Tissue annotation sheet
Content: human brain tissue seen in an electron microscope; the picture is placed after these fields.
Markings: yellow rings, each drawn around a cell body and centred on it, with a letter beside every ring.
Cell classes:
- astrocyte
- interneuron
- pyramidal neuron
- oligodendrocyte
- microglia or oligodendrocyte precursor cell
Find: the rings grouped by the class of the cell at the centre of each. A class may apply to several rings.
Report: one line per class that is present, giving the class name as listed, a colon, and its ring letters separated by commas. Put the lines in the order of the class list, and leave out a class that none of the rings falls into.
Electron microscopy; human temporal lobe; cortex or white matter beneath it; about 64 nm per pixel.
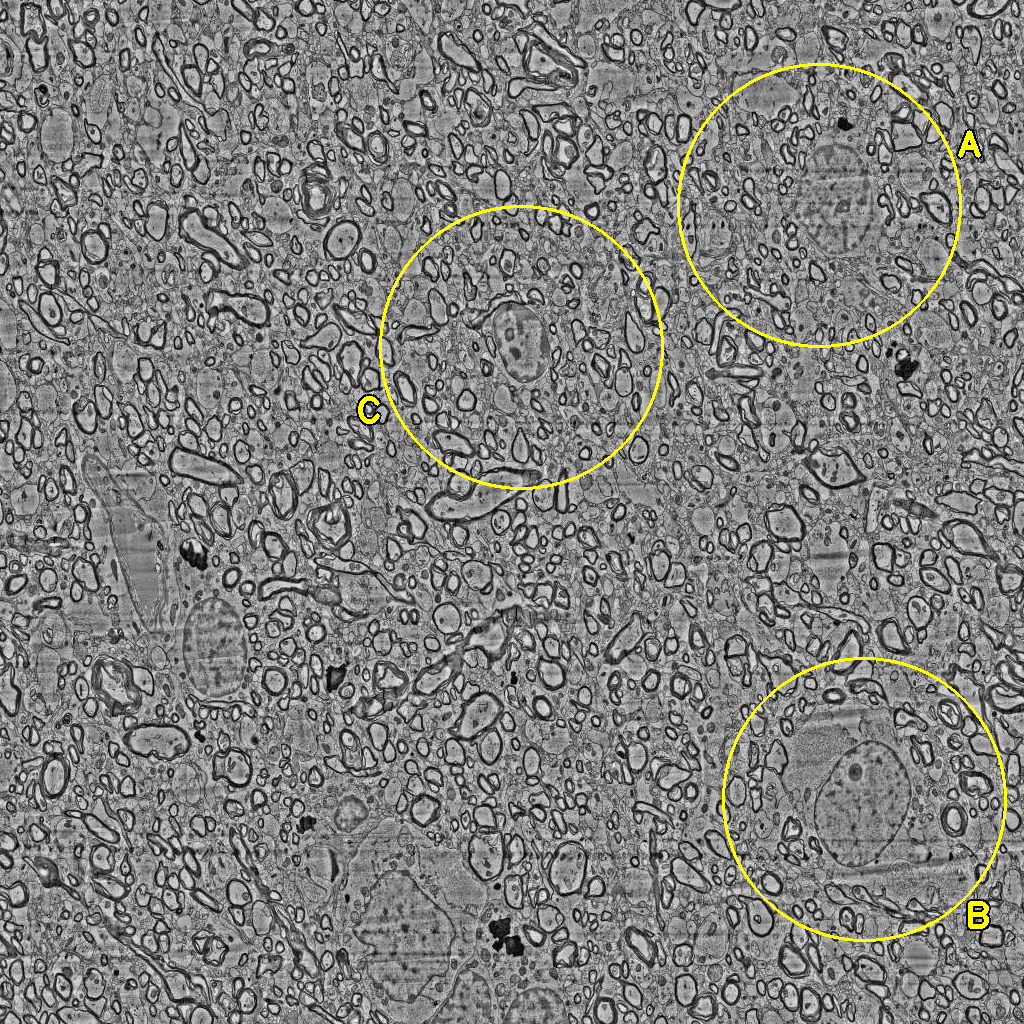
astrocyte: B
oligodendrocyte: A
microglia or oligodendrocyte precursor cell: C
